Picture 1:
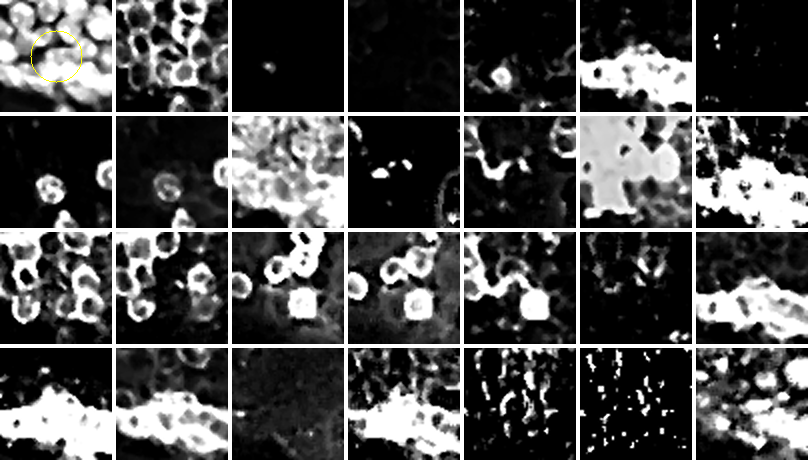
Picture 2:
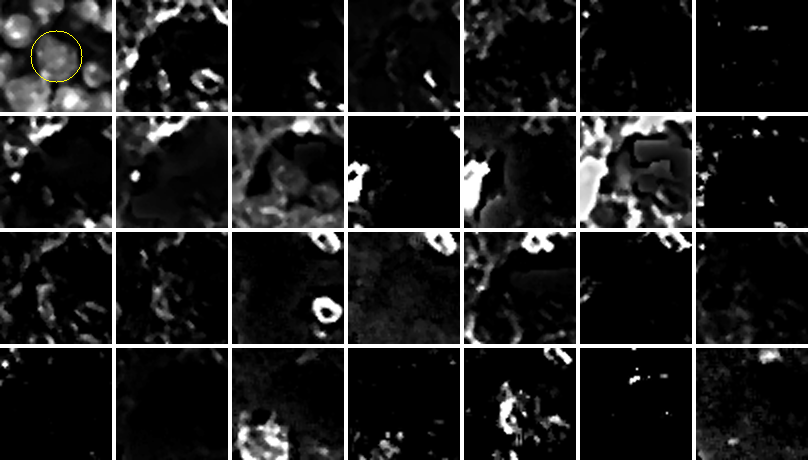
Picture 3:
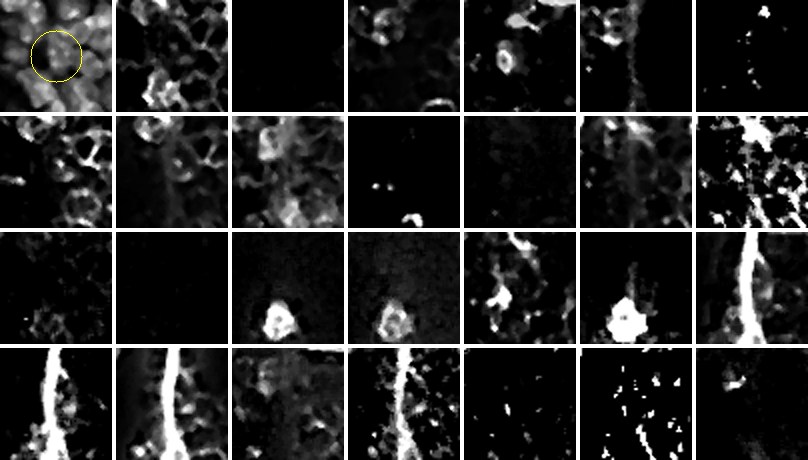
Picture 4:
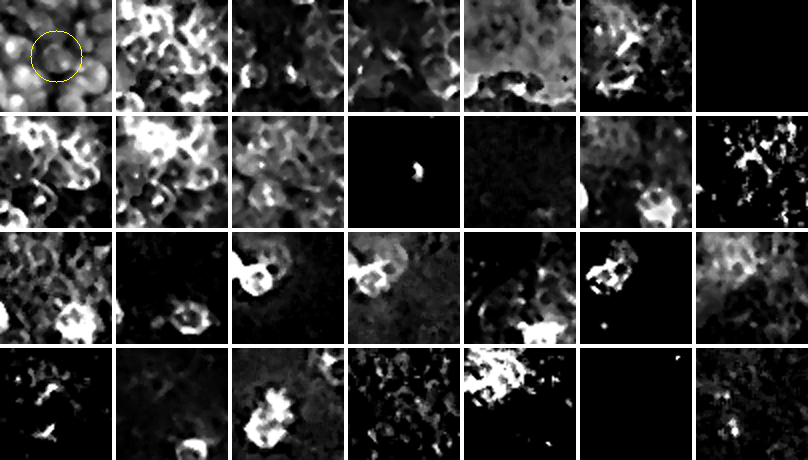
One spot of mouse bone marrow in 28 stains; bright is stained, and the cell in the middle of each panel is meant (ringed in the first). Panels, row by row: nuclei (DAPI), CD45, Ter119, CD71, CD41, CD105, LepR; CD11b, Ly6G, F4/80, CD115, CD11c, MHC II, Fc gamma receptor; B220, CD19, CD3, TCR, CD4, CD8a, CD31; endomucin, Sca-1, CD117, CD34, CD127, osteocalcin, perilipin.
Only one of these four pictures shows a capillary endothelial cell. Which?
Picture 3.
